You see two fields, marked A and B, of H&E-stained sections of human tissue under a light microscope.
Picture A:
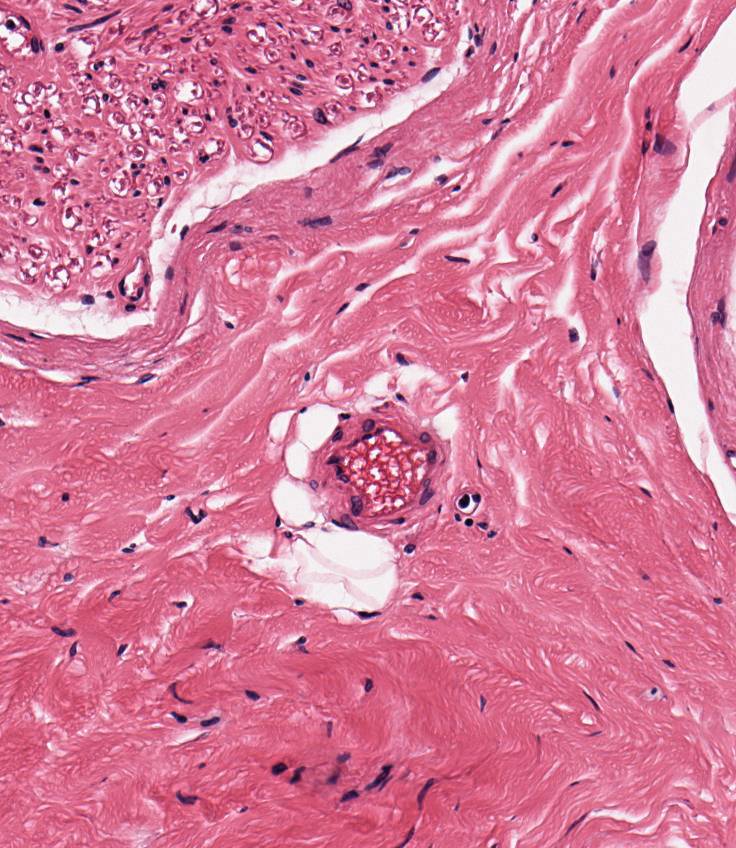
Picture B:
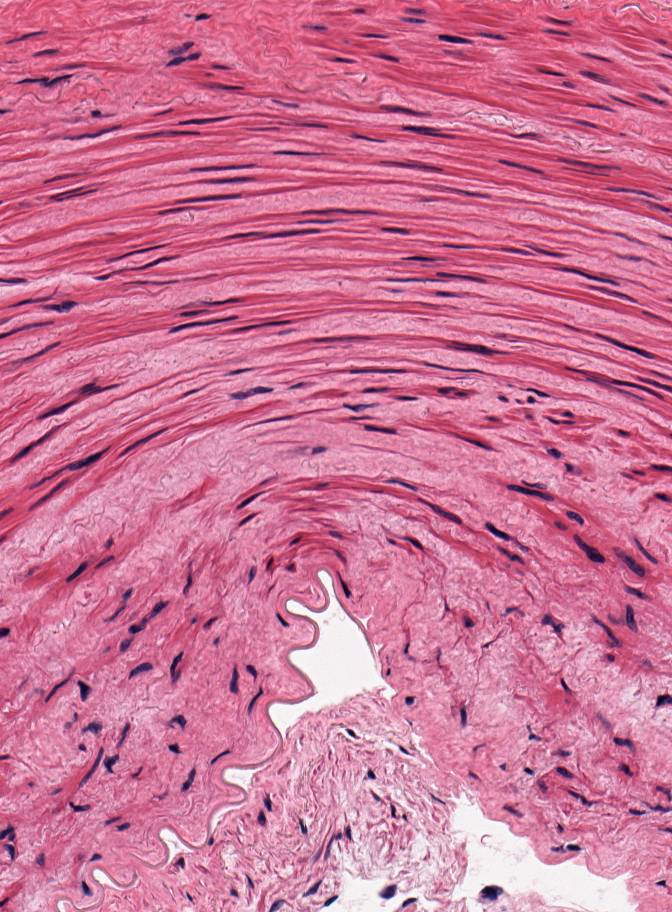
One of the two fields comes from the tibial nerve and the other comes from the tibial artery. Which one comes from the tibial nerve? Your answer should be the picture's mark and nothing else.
A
